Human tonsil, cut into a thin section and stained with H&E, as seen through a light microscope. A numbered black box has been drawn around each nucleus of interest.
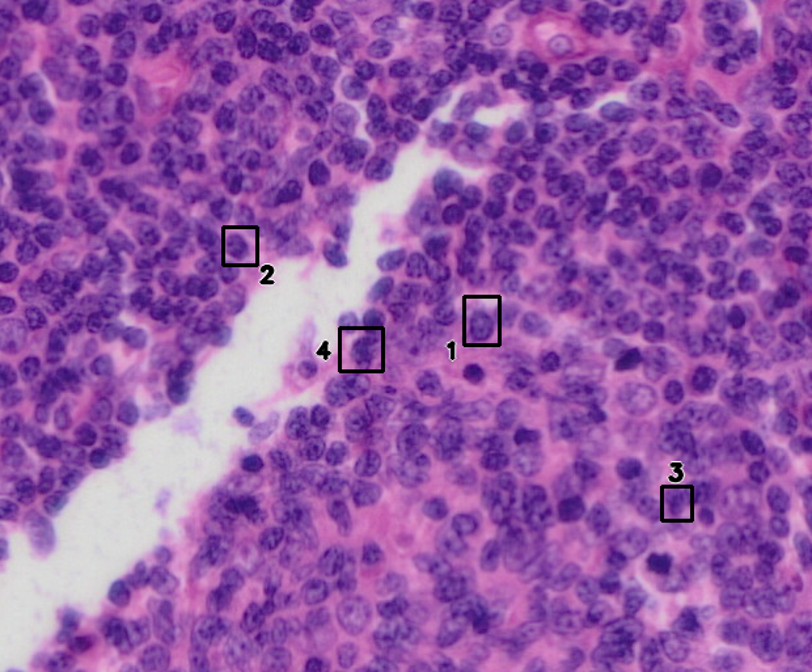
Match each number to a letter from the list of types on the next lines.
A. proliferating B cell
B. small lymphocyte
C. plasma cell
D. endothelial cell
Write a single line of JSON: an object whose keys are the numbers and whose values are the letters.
{"1": "A", "2": "B", "3": "A", "4": "A"}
